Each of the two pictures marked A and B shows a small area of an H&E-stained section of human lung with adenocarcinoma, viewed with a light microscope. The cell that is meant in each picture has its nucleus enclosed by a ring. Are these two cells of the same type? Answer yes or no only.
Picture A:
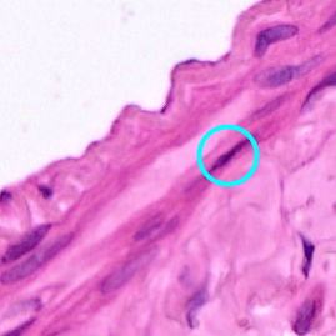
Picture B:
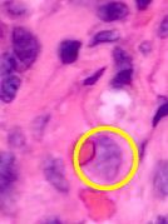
no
